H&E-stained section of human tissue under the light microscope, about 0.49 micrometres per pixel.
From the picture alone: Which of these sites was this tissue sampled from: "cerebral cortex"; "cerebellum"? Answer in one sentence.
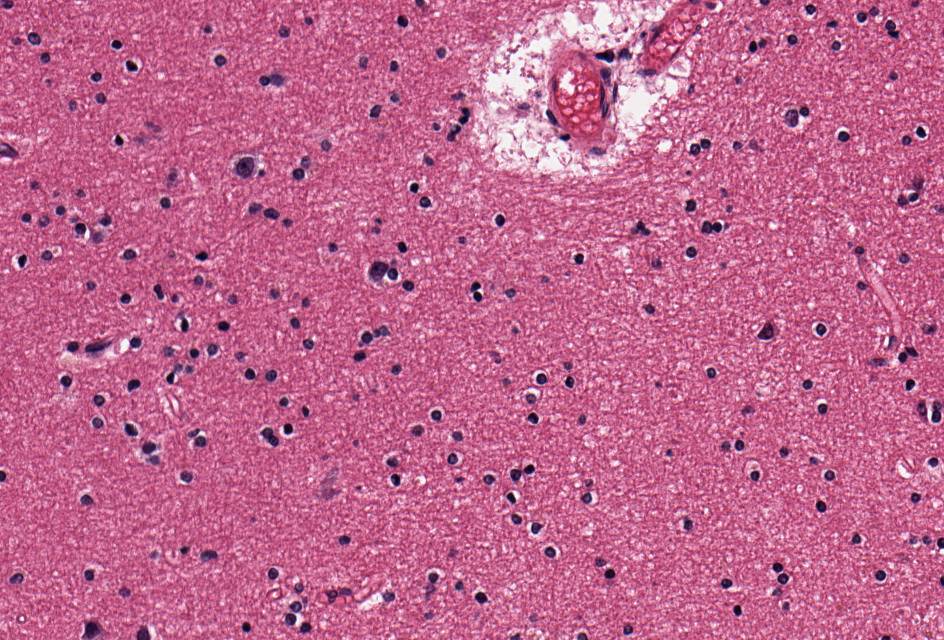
The site this tissue was sampled from is the cerebral cortex.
